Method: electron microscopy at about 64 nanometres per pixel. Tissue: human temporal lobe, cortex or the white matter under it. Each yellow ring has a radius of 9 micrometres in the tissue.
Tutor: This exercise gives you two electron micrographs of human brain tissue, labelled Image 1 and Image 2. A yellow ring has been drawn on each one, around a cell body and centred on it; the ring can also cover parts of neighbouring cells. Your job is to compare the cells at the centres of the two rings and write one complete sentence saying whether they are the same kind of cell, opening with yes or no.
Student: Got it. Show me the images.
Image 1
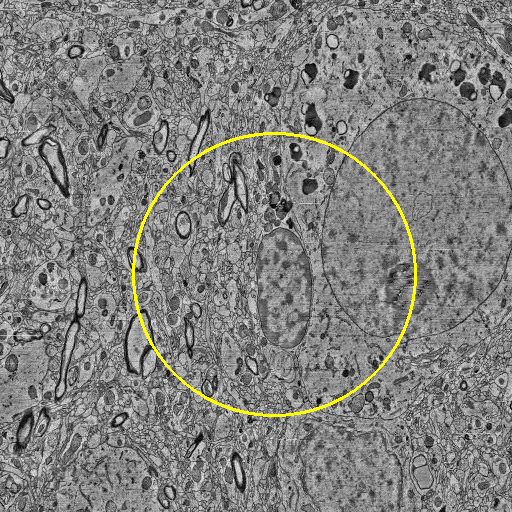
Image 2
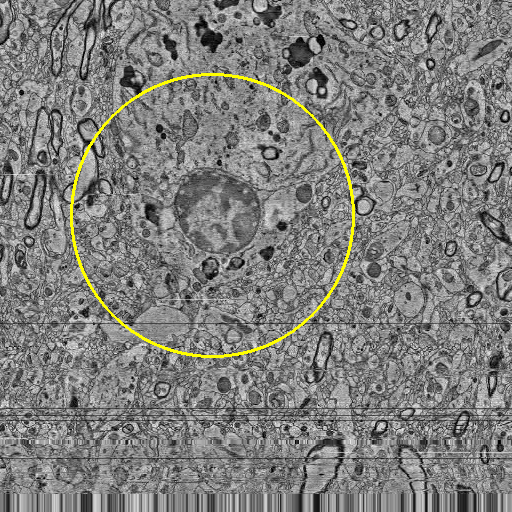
Yes, the two cells belong to the same kind.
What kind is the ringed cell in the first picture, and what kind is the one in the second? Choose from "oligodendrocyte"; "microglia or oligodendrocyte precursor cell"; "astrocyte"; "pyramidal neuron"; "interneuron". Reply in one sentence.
The cell in the first picture is a microglial cell or oligodendrocyte precursor cell, and so is the one in the second.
